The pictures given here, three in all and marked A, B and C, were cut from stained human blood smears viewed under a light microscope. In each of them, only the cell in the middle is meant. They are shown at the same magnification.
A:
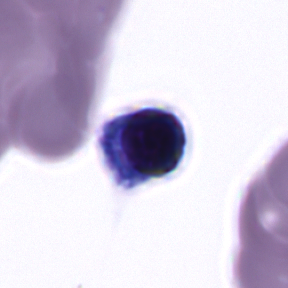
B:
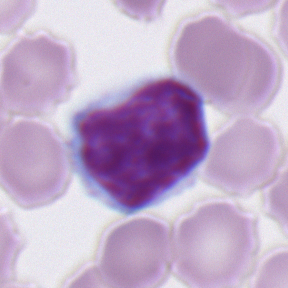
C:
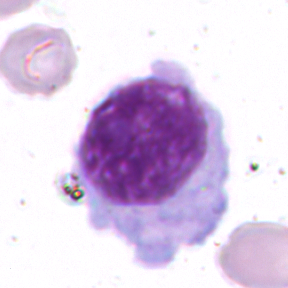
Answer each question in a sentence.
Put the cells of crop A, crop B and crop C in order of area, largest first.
The order is C, B, A, beginning with the largest.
